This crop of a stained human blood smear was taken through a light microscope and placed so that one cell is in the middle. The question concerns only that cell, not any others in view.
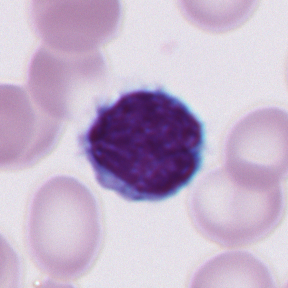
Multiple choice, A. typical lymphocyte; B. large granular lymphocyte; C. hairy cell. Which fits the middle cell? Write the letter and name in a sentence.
The correct option is A, as the central cell is a typical lymphocyte.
